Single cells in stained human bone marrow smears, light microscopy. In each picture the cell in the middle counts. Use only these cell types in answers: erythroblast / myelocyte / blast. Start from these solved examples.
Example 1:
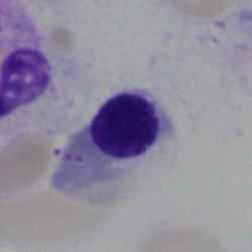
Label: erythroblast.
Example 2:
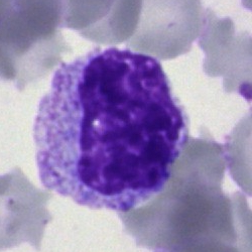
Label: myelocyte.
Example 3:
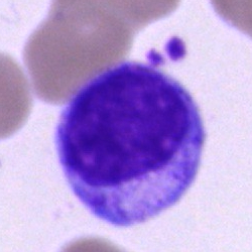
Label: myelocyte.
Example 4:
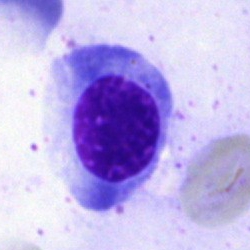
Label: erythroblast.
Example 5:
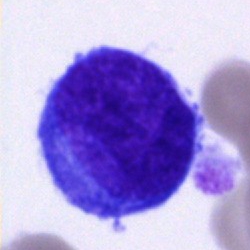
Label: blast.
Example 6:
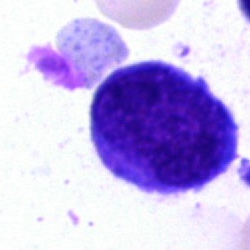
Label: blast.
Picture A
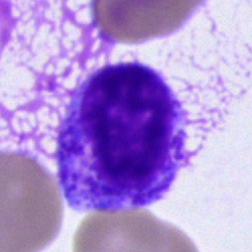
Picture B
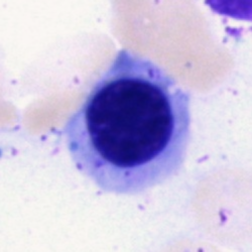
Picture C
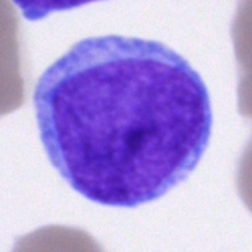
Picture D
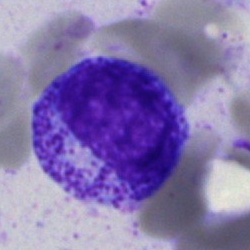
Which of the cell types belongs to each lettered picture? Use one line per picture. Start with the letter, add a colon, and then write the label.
A: myelocyte.
B: erythroblast.
C: blast.
D: myelocyte.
